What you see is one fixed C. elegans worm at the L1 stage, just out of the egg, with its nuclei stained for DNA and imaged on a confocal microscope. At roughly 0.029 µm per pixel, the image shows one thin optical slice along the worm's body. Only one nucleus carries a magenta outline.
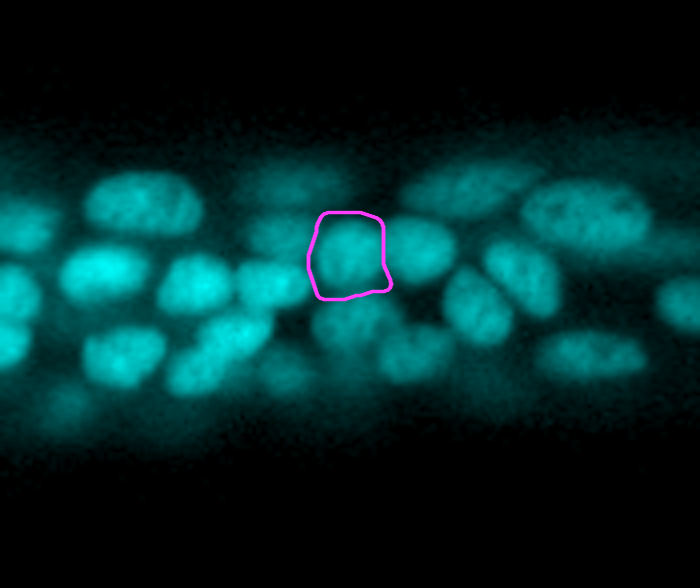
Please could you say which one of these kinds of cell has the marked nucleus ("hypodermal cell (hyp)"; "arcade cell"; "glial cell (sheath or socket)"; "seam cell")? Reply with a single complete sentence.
The marked nucleus belongs to a glial cell (sheath or socket).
